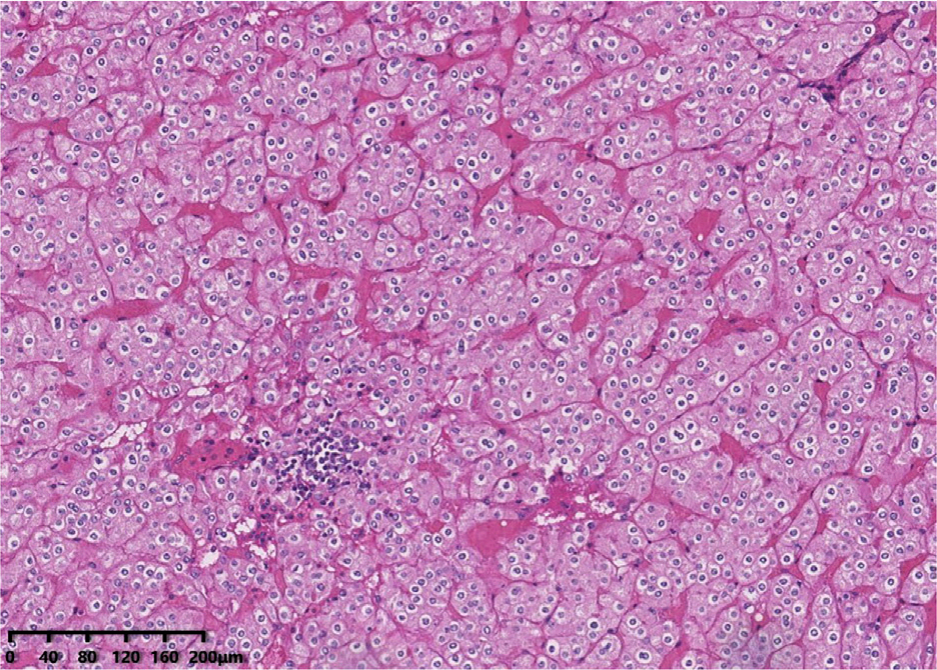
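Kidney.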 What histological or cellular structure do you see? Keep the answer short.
Lymphocytic clusters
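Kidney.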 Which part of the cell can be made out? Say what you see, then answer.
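Perinuclear halos. Most round nuclei are surrounded by a clear pale rim. The cytoplasm beyond the clear rim is pale pink and finely granular.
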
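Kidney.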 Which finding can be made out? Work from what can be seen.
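Tumour cells are grouped in rounded and irregular nests. The nests are separated by thin pink septa and small pink stromal areas.
Conclusion: nested growth pattern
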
